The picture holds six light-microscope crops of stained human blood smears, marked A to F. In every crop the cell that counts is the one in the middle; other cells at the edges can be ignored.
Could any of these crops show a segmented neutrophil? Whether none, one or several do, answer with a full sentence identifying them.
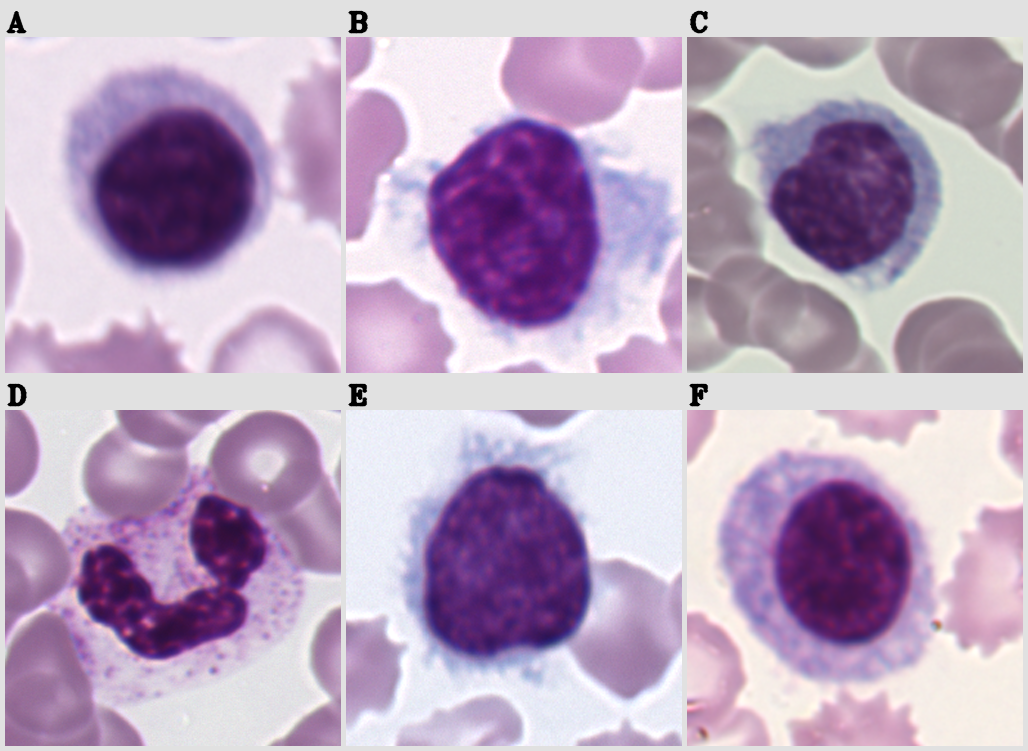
Crop D is the only crop that shows a segmented neutrophil.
